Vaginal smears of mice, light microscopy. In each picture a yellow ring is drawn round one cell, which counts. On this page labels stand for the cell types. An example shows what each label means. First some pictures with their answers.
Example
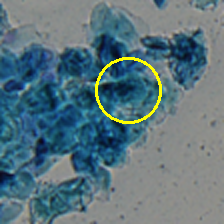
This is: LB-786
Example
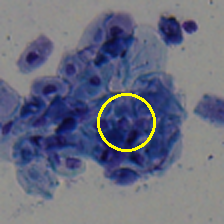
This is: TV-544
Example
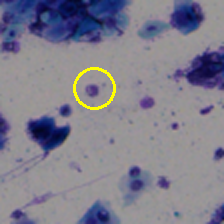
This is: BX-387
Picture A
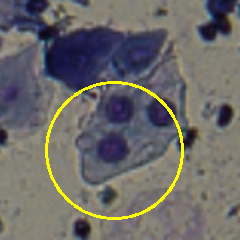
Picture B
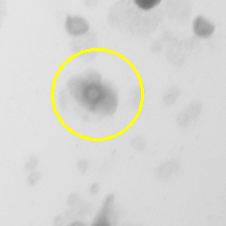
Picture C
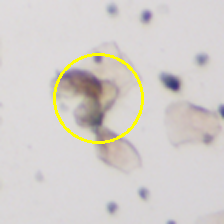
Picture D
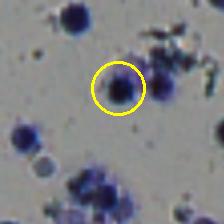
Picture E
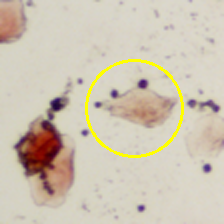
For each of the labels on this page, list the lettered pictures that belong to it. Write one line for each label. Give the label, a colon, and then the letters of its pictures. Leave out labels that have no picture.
LB-786: C, E
TV-544: A, B
BX-387: D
